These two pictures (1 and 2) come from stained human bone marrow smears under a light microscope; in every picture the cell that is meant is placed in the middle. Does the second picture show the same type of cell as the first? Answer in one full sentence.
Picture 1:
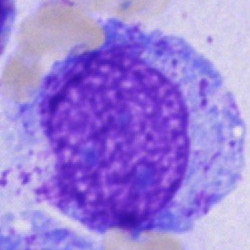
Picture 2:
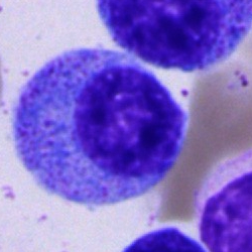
Yes, both cells are promyelocytes.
